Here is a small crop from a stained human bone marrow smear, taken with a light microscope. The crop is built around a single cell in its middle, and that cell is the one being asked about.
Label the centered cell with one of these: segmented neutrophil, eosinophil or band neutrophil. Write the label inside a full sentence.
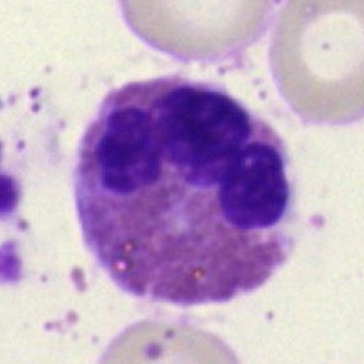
By type, the central cell of the crop is an eosinophil.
